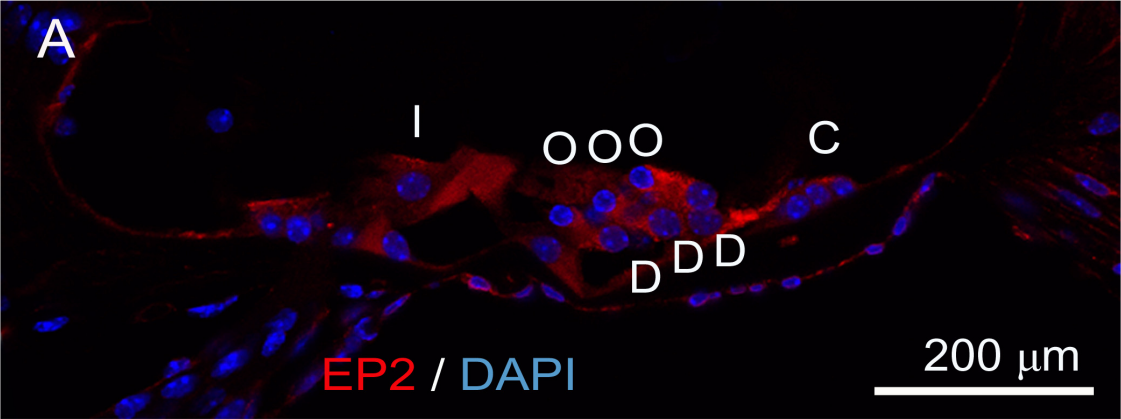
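A cross-section of the cochlear sensory epithelium stretches across the field as a thin, faintly red sheet with blue nuclei. Near the middle, a row of three cells with round nuclei sits in the upper tier, the outer hair cells, with a tier of supporting Deiter's cells beneath them. Toward the inner side a single cell stands apart, the inner hair cell, with a reddish, somewhat triangular tissue mass between it and the outer row. To the outer side the epithelium thins into small cells with closely set nuclei, the Claudius' cells.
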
